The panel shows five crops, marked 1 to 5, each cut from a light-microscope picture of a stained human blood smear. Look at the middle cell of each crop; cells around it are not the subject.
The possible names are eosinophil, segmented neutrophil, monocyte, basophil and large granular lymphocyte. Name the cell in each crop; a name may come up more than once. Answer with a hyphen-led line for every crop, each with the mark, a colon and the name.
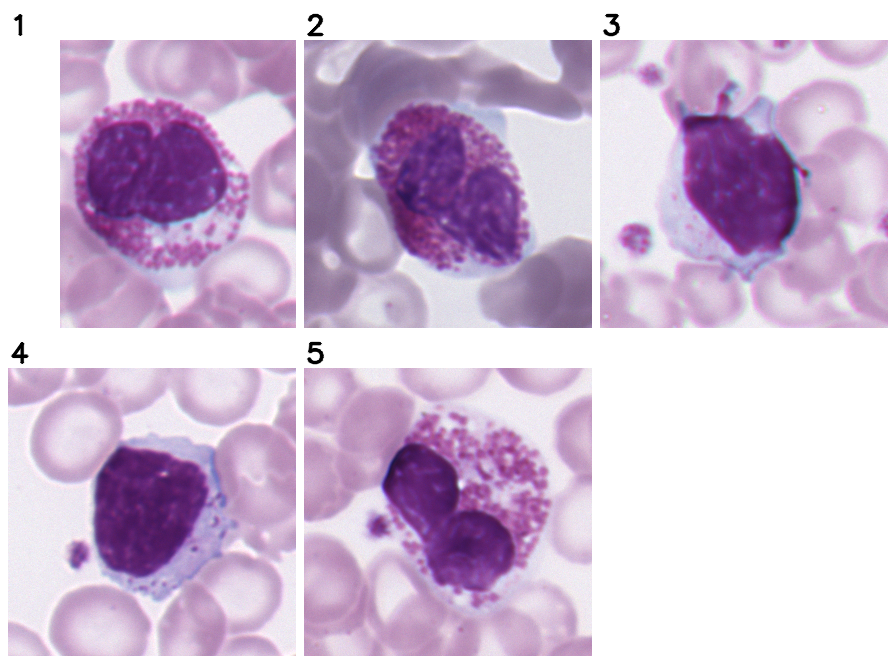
- 1: eosinophil
- 2: eosinophil
- 3: large granular lymphocyte
- 4: large granular lymphocyte
- 5: eosinophil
